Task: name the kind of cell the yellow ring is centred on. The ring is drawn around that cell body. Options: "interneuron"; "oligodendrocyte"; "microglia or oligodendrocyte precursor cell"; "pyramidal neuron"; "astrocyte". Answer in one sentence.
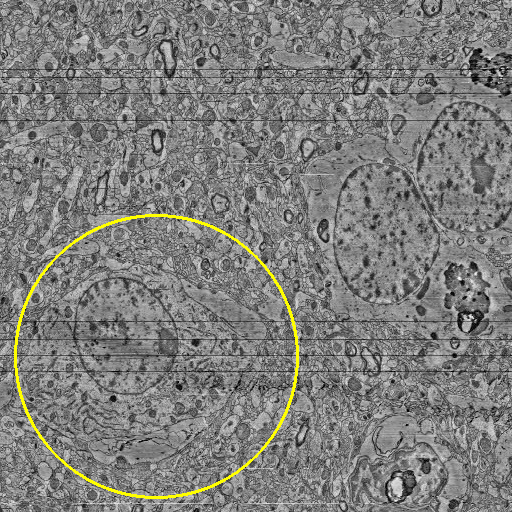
This cell body belongs to a pyramidal neuron.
